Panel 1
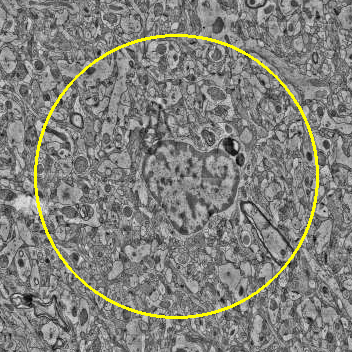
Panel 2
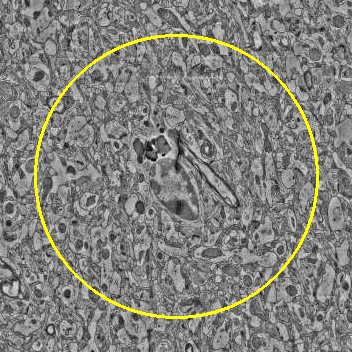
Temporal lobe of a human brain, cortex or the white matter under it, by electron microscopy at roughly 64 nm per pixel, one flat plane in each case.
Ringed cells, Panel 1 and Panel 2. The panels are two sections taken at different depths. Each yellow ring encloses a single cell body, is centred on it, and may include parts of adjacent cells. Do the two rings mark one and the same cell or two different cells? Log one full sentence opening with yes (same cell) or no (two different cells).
Yes, both circles in yellow pick out the same cell.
